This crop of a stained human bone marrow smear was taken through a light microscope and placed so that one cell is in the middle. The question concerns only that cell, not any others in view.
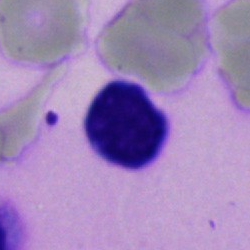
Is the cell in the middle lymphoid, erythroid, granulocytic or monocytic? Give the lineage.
lymphoid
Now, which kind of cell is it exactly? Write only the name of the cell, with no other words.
lymphocyte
